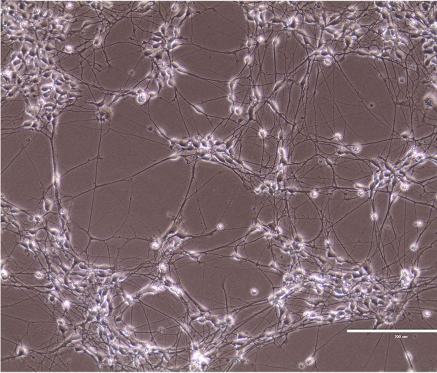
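Neural culture under phase contrast, with small phase-bright cell bodies joined by long, thin processes. The processes run between groups of cells and form a loose network. Some areas hold denser patches of cells, some of which are flatter, while other areas lie open with only a few processes crossing them.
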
